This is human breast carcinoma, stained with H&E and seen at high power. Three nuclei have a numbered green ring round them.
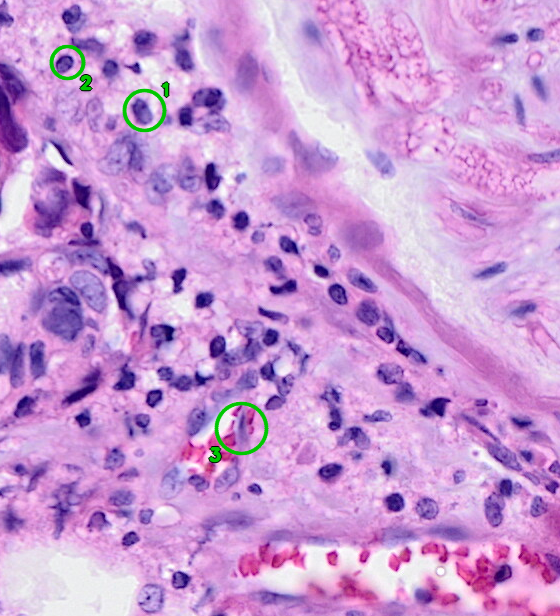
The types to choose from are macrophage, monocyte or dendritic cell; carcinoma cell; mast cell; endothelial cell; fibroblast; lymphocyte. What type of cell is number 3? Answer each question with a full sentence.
The numbered cell 3 is identified here as an endothelial cell.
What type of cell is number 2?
The cell carrying label 2 is identified as a lymphocyte.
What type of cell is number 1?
In this section, the cell numbered 1 is a lymphocyte.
